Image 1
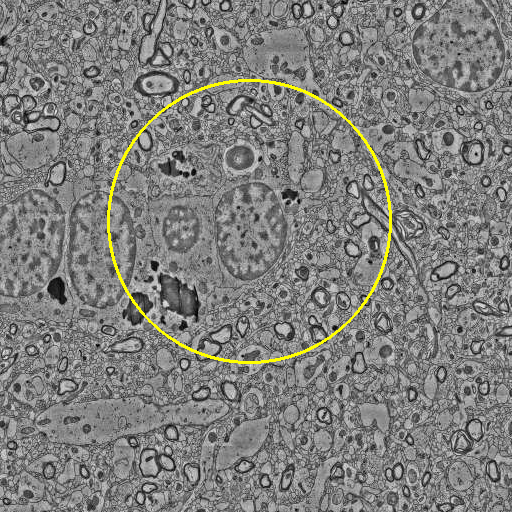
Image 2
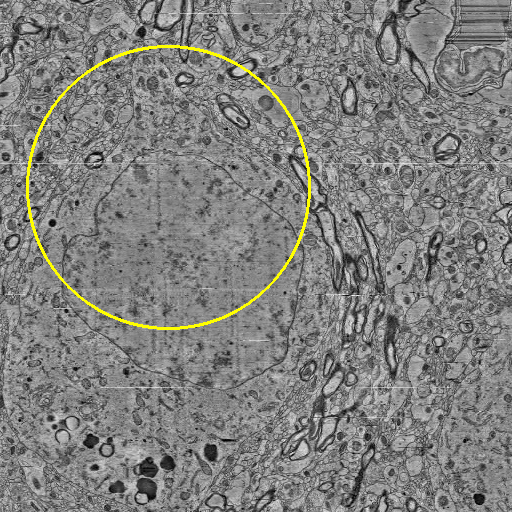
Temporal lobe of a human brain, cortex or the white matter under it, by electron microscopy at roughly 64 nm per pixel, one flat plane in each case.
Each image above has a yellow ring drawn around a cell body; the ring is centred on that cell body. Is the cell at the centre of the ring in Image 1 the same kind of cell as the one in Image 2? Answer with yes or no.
no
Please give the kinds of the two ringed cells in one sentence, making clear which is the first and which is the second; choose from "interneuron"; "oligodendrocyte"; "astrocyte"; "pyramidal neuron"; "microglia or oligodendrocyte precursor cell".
In the second picture the ringed cell is a pyramidal neuron; in the first it is an oligodendrocyte.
